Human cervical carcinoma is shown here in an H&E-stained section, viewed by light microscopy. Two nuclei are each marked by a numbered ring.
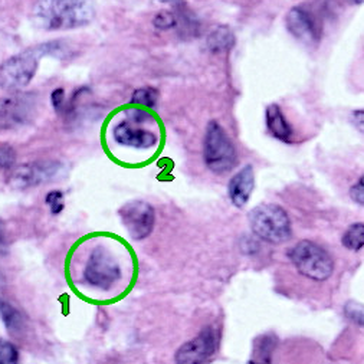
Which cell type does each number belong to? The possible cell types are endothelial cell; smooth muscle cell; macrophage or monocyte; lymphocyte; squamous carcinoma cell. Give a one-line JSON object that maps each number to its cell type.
{"1": "macrophage or monocyte", "2": "lymphocyte"}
